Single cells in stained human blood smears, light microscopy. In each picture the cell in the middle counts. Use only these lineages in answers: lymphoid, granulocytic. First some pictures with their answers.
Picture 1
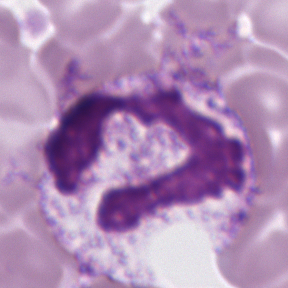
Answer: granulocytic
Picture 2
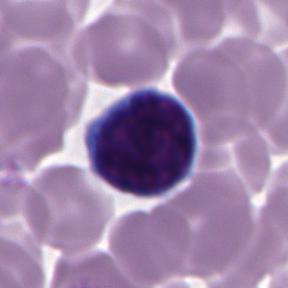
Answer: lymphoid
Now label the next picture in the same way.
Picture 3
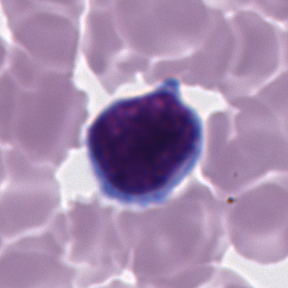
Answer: lymphoid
